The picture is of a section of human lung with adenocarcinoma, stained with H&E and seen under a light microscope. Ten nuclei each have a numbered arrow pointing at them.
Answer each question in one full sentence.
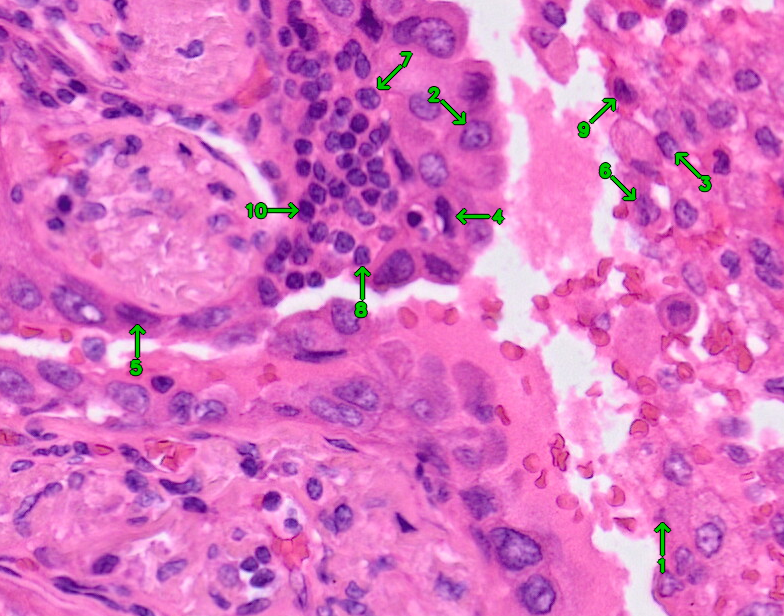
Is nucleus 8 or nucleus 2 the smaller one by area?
Number 8 is smaller, since number 2 takes up about 2.5 times as much area.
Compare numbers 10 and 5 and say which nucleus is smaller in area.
Nucleus 10 is the smaller one; nucleus 5 covers about 1.5 times its area.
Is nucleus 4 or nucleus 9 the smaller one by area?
Nucleus 9 is the smaller one; nucleus 4 covers about 1.5 times its area.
